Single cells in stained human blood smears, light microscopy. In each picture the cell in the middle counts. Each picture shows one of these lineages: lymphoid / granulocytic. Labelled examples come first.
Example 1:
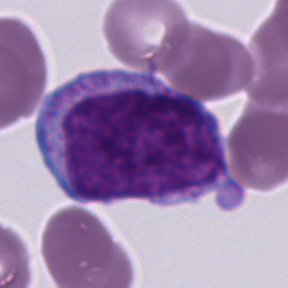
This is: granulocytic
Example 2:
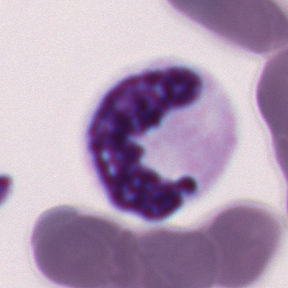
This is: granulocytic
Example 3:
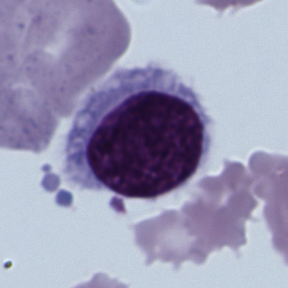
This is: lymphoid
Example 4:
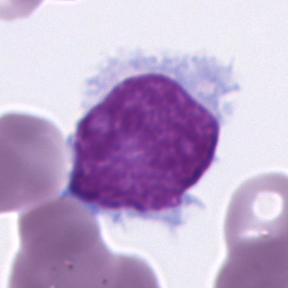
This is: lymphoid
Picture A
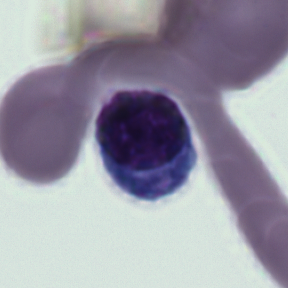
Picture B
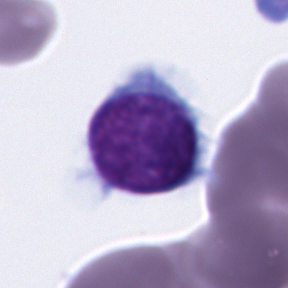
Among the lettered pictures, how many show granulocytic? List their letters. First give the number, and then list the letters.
0, none of them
